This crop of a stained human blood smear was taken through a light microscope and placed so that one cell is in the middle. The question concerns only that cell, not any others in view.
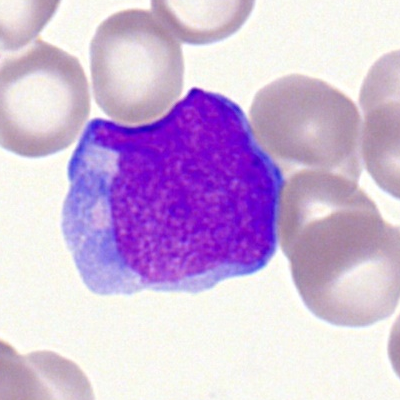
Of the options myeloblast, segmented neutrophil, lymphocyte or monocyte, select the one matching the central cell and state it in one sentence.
By classification, the middle cell of this crop is a myeloblast.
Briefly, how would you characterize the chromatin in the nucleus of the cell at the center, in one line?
The chromatin remains finely textured, with no coarse clumps to speak of.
